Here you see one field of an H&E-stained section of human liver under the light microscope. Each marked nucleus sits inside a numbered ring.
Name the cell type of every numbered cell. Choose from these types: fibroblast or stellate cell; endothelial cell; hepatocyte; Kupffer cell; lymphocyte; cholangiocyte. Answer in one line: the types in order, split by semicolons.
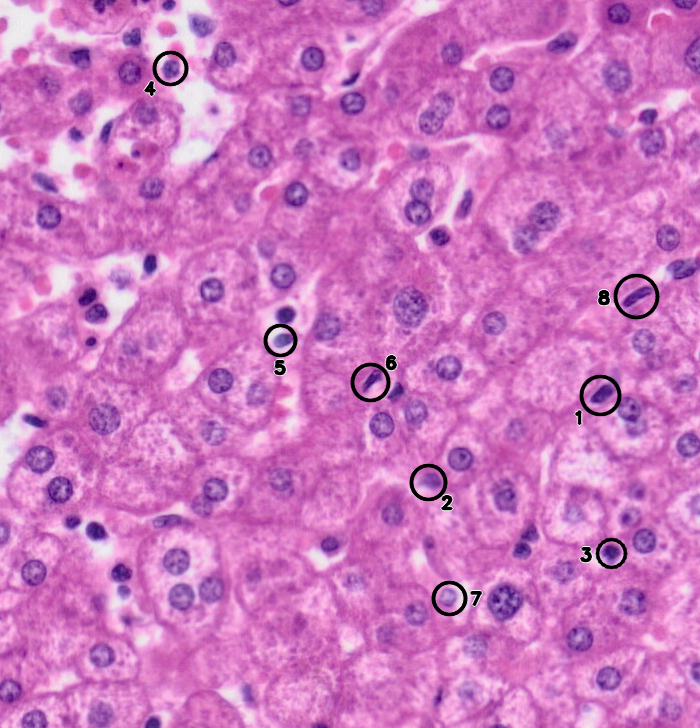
fibroblast or stellate cell; endothelial cell; lymphocyte; lymphocyte; lymphocyte; endothelial cell; Kupffer cell; lymphocyte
